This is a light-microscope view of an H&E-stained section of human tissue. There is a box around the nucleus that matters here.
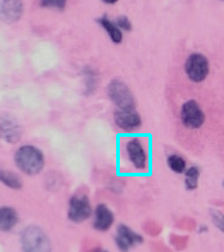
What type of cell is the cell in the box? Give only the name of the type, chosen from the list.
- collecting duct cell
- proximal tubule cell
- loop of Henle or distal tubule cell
loop of Henle or distal tubule cell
